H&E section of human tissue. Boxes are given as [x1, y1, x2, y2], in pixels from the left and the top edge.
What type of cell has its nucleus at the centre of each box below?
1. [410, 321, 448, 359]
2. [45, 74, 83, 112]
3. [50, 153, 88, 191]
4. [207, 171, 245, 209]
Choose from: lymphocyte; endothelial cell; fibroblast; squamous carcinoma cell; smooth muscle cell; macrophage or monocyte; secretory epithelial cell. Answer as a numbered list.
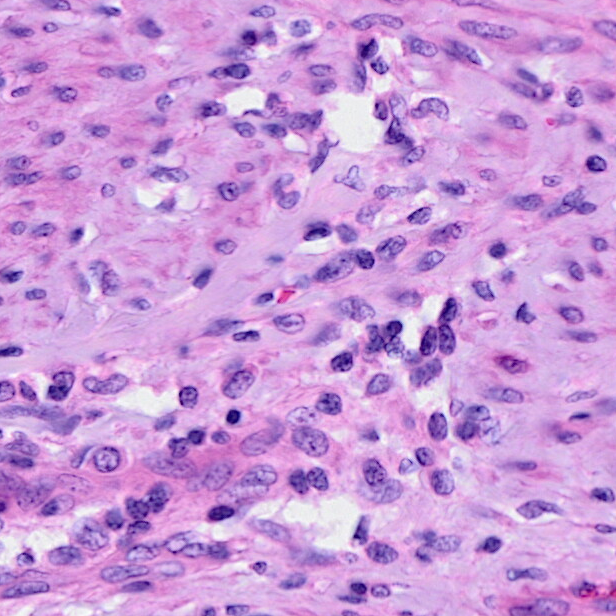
1. lymphocyte
2. smooth muscle cell
3. smooth muscle cell
4. smooth muscle cell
